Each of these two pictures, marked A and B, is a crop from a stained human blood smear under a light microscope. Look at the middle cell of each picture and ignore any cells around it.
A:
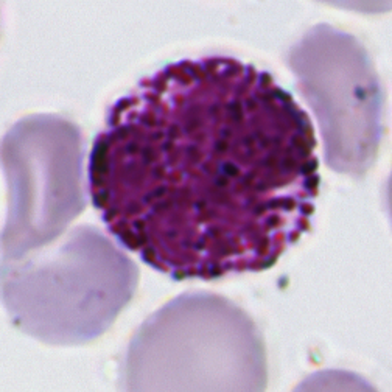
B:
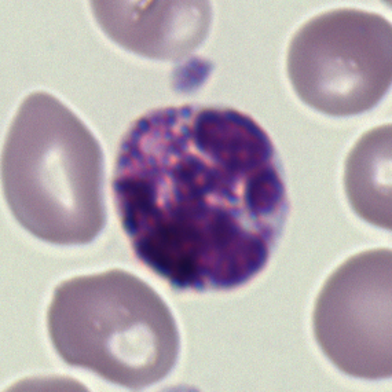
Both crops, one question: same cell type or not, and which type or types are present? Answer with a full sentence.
Yes, the cells at the middle of both crops are basophils.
